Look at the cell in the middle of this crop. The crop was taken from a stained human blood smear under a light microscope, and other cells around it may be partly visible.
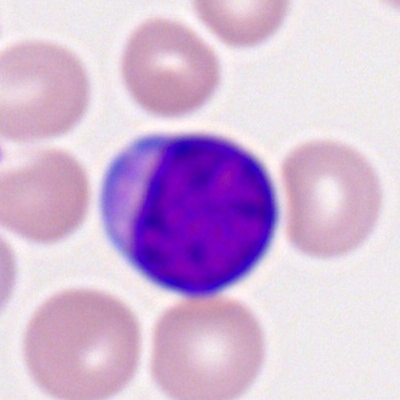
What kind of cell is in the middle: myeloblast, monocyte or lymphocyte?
myeloblast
